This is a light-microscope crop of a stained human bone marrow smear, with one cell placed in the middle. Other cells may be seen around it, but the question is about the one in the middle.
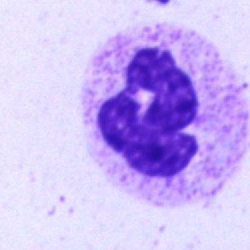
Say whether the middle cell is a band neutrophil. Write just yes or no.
no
